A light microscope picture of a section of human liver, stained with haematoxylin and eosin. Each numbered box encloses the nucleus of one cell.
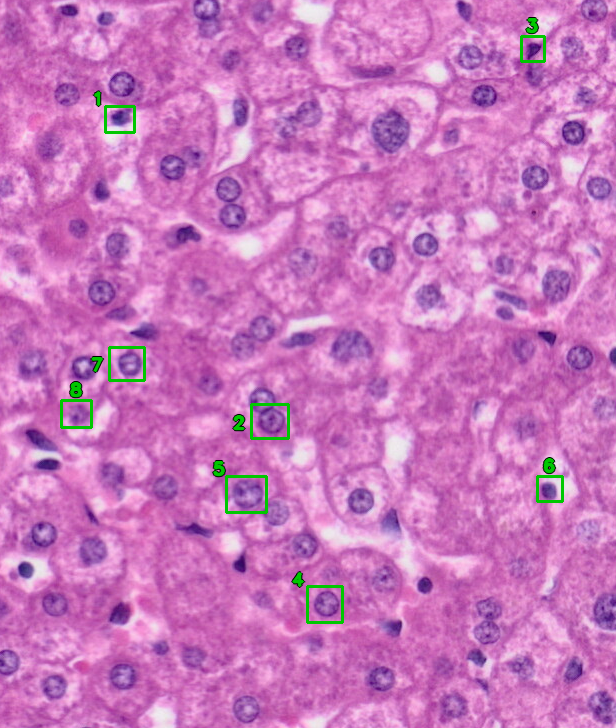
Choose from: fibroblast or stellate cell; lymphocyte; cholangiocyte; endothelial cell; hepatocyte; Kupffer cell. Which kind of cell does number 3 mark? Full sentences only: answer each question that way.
The numbered cell 3 is identified here as a fibroblast or stellate cell.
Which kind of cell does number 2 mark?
Cell 2, among those numbered, is a hepatocyte.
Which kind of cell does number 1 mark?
The cell given label 1 is a lymphocyte.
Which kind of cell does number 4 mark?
The nucleus labelled 4 belongs to a hepatocyte.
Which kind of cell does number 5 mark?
The marked nucleus 5 is that of a hepatocyte.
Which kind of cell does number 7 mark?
Classified as a hepatocyte is the cell with the number 7.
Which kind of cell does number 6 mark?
The nucleus marked 6 is the nucleus of a lymphocyte.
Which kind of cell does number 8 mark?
Here the cell numbered 8 is a hepatocyte.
